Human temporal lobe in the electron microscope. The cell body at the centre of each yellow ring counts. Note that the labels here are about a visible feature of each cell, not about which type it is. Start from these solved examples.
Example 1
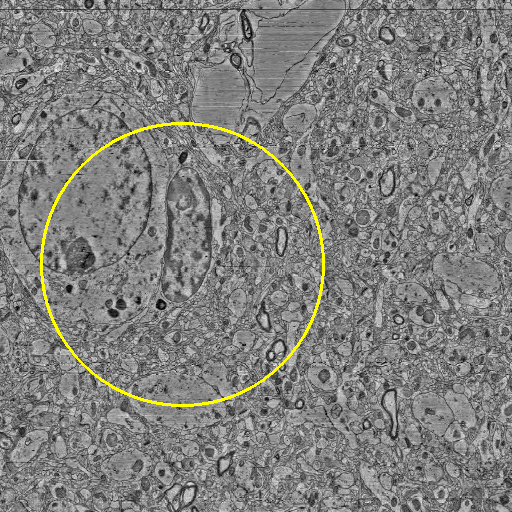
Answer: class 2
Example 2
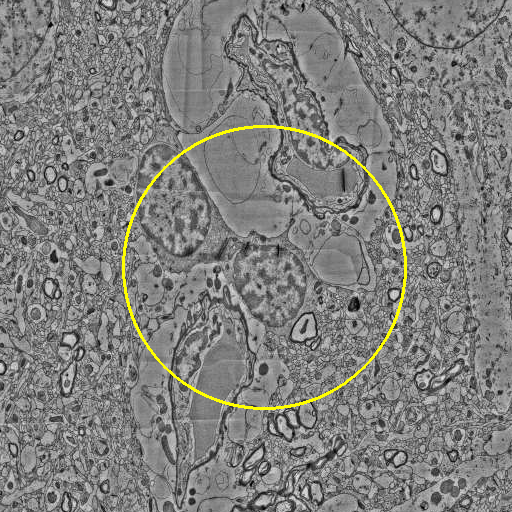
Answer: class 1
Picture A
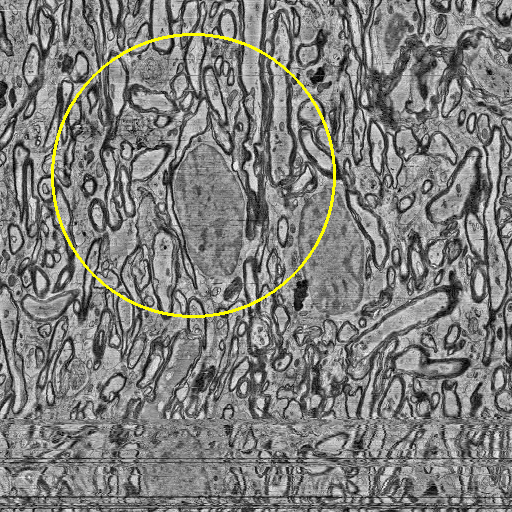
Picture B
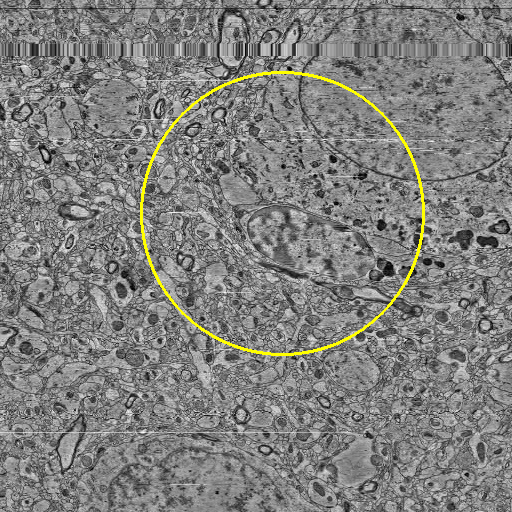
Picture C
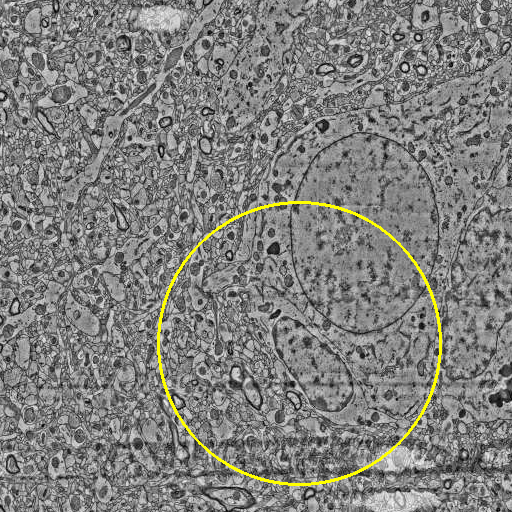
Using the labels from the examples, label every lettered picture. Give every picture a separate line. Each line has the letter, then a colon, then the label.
A: class 2
B: class 2
C: class 2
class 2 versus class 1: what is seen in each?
Seen in class 2: clearly elongated nuclei; seen in class 1: round or nearly round nuclei.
